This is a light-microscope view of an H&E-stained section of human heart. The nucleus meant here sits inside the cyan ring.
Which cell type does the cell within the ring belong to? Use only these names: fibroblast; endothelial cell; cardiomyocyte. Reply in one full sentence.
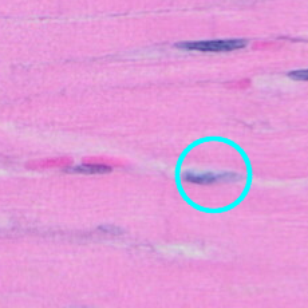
In this field of tissue, the cell within the ring is a fibroblast.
